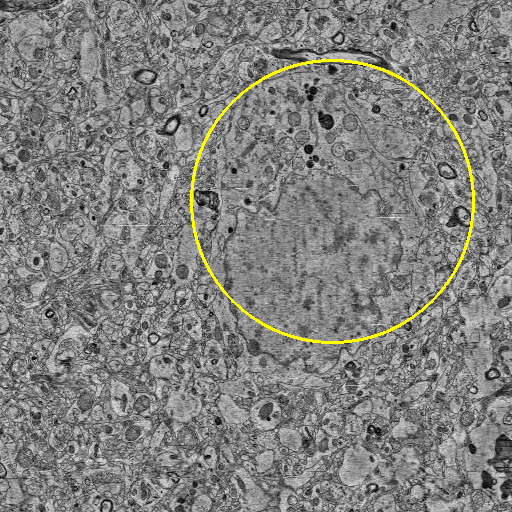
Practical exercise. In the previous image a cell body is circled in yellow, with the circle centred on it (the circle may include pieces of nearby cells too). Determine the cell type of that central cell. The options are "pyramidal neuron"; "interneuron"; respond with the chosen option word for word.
interneuron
